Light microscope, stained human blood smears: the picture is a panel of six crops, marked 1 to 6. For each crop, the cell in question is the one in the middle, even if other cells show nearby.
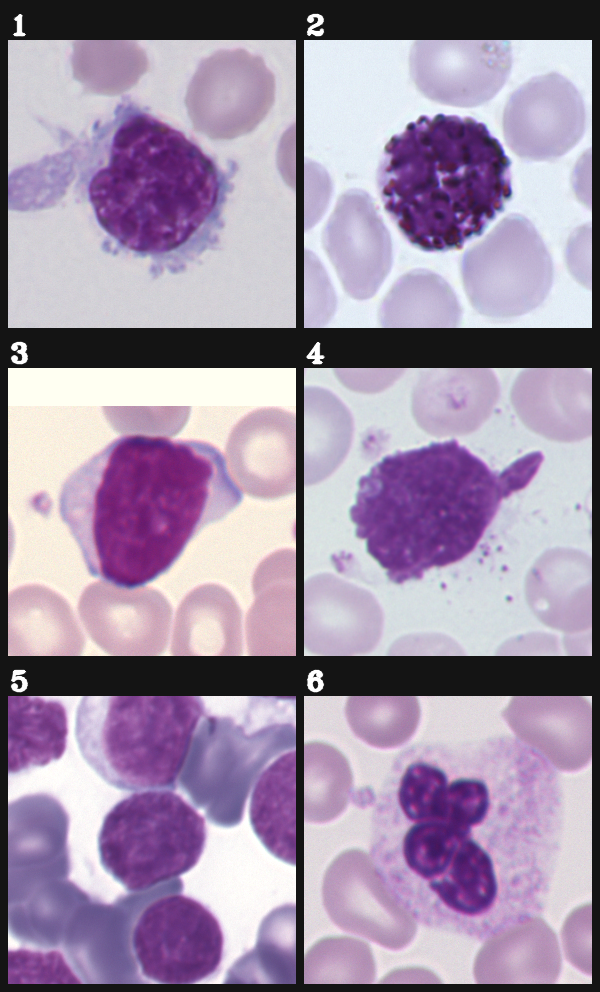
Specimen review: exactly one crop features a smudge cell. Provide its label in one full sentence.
Among all the crops given here, the one with a smudge cell is crop 4.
